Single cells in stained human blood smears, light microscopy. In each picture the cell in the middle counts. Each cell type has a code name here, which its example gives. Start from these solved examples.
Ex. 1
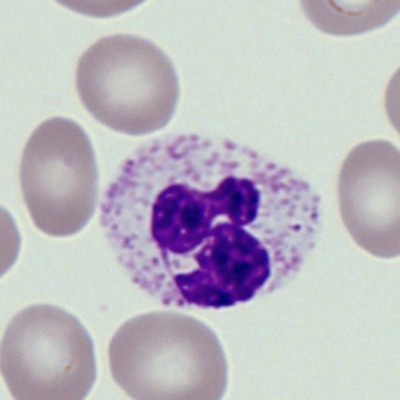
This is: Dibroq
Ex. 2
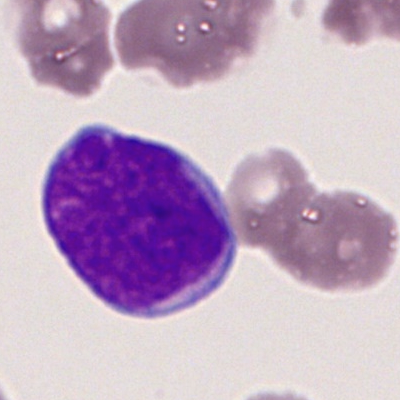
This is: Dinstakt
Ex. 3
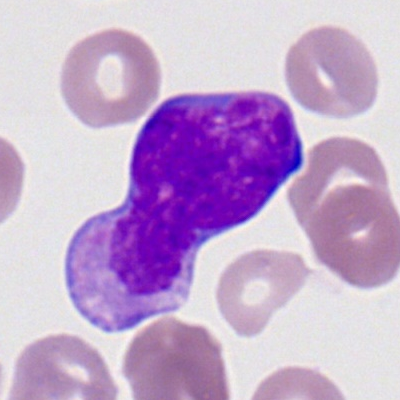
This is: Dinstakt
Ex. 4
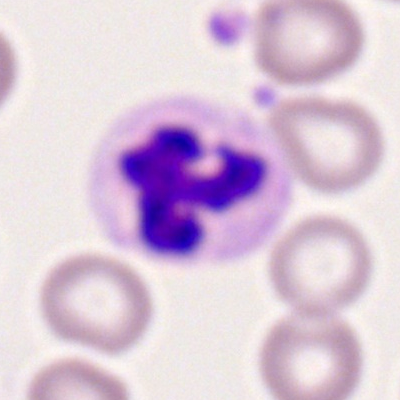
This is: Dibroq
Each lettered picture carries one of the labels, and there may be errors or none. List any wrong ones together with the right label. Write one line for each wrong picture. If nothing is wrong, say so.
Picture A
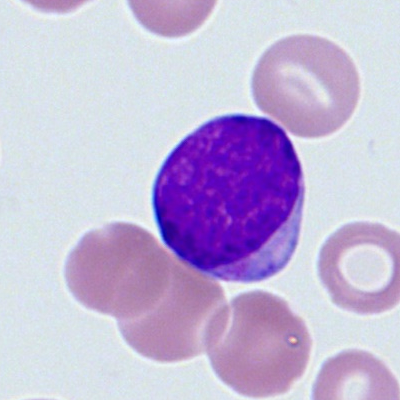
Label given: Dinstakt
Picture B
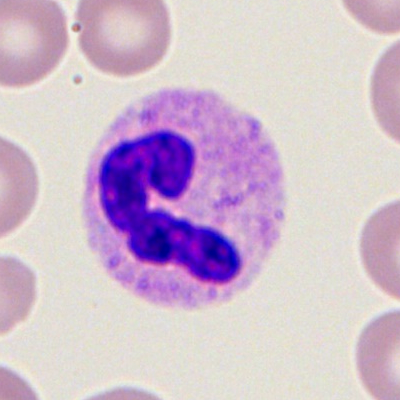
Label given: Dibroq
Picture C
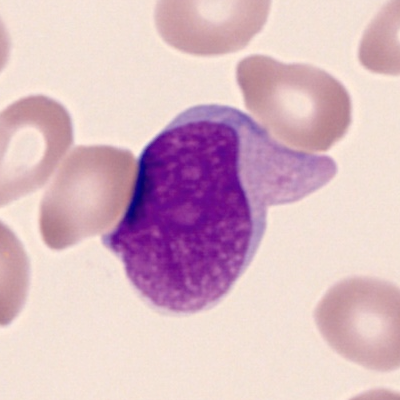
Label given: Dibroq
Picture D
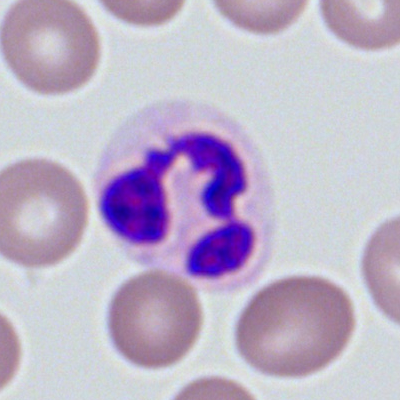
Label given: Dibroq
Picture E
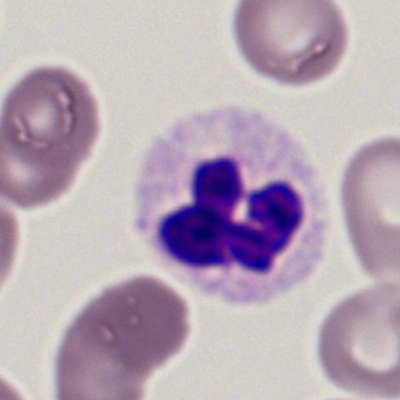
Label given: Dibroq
C: not Dibroq but Dinstakt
